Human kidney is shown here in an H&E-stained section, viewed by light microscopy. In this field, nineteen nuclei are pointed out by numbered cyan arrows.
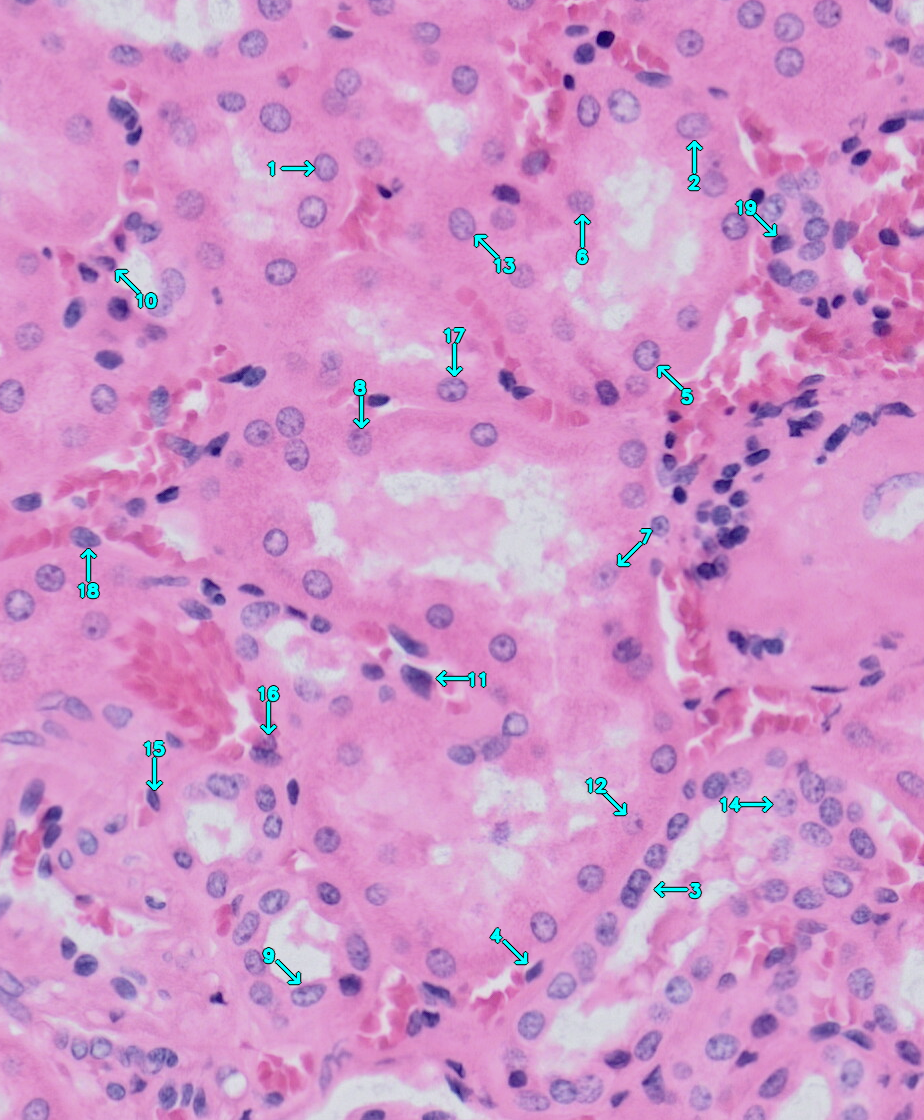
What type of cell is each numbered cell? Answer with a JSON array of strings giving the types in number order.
["proximal tubule cell", "proximal tubule cell", "collecting duct cell", "endothelial cell", "proximal tubule cell", "proximal tubule cell", "proximal tubule cell", "proximal tubule cell", "loop of Henle or distal tubule cell", "collecting duct cell", "endothelial cell", "proximal tubule cell", "proximal tubule cell", "collecting duct cell", "endothelial cell", "endothelial cell", "proximal tubule cell", "endothelial cell", "collecting duct cell"]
